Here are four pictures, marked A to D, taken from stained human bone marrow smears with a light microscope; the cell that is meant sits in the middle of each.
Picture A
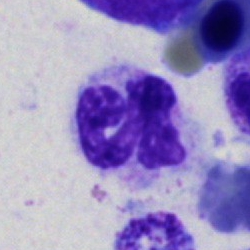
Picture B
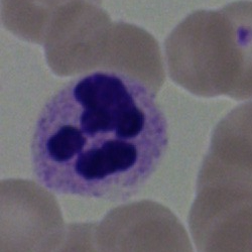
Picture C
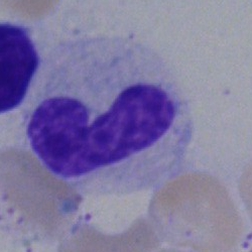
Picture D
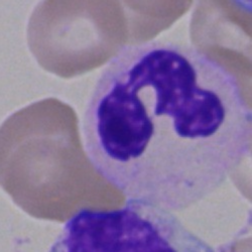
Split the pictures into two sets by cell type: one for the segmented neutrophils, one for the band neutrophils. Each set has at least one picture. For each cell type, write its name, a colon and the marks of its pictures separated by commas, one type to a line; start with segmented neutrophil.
segmented neutrophil: A, B, D
band neutrophil: C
